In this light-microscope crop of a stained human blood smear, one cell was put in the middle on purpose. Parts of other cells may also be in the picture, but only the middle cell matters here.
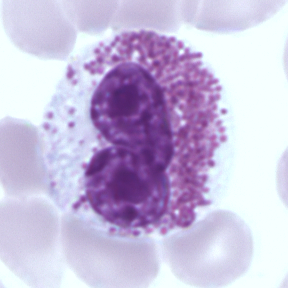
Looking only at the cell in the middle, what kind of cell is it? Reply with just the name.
eosinophil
